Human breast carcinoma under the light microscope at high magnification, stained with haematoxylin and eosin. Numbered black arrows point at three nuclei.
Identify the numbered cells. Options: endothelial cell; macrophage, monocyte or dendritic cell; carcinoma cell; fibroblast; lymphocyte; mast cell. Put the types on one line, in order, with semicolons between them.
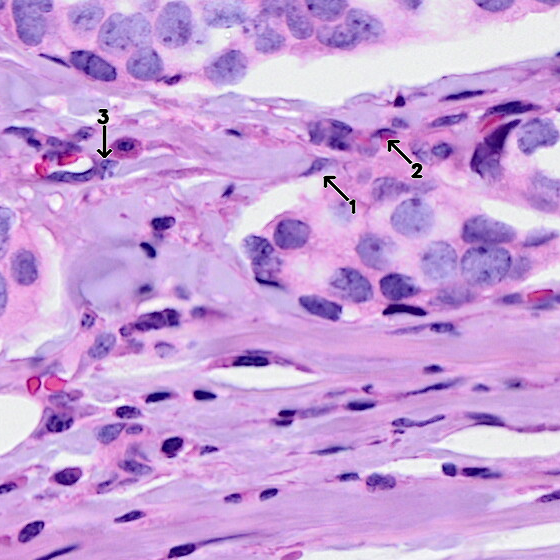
fibroblast; endothelial cell; endothelial cell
